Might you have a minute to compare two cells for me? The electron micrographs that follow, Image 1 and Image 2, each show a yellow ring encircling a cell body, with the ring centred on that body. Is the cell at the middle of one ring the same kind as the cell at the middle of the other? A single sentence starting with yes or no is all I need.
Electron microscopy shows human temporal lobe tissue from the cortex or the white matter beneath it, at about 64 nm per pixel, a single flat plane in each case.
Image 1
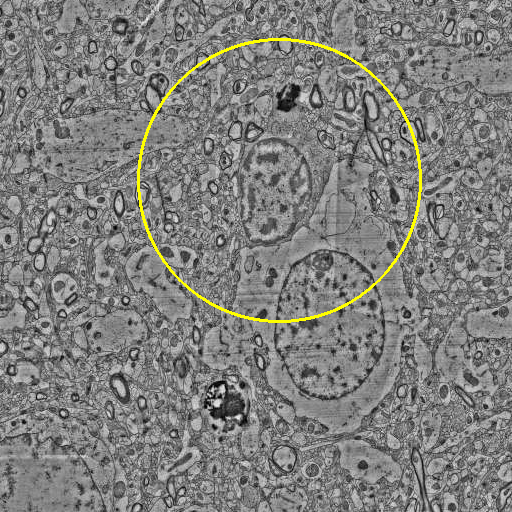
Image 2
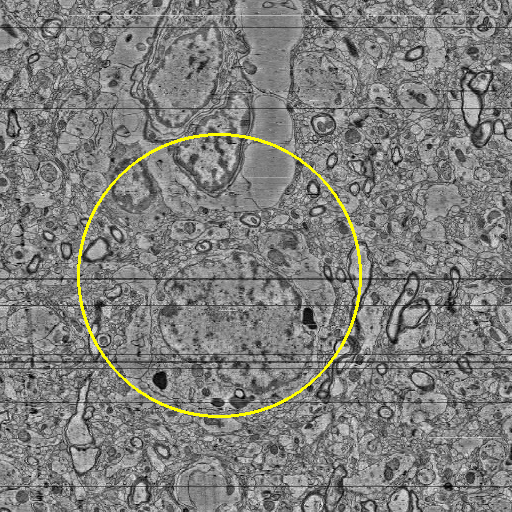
No, the cells in the middle of the two rings are of two separate kinds.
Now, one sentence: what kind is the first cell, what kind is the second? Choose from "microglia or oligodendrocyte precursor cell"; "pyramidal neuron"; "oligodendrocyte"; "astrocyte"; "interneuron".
The first picture has an oligodendrocyte at its ring centre, and the second has an interneuron.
